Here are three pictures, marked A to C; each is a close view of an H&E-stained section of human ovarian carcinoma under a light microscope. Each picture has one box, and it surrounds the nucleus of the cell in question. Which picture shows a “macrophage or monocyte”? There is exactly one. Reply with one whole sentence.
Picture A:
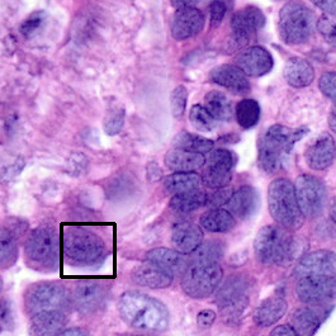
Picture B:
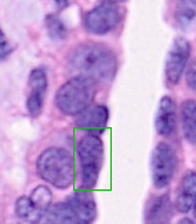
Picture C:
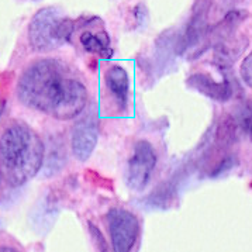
The “macrophage or monocyte” is the one in picture C.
